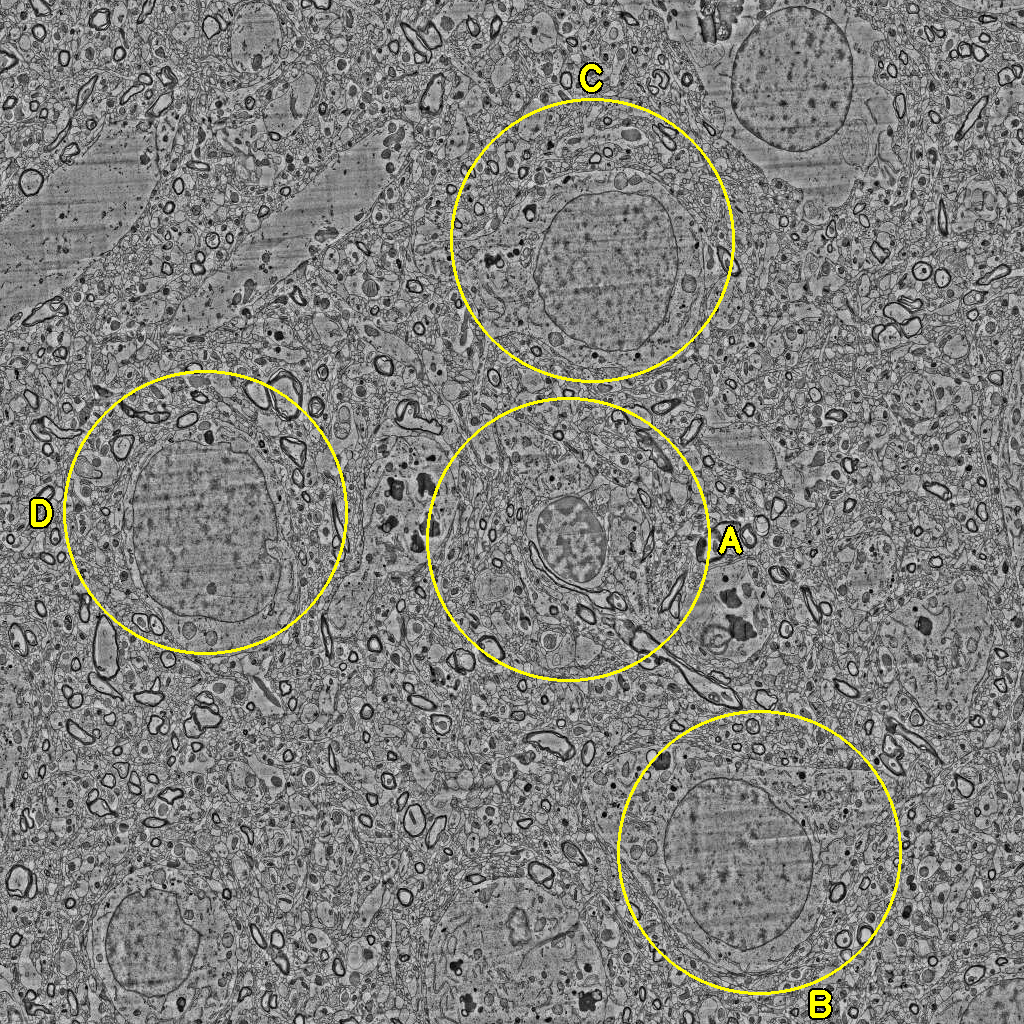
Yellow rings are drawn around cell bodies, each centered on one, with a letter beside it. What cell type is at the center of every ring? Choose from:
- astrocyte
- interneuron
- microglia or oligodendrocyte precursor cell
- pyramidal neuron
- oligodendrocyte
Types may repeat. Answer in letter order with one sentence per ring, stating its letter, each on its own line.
The cell at the center of ring A is a microglial cell or oligodendrocyte precursor cell.
The cell at the center of ring B is a pyramidal neuron.
The cell at the center of ring C is a pyramidal neuron.
The cell at the center of ring D is a pyramidal neuron.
